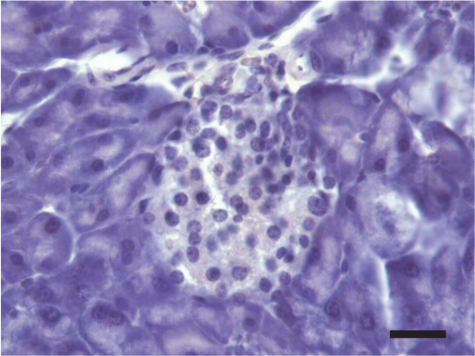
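A pancreatic islet lies in the centre of the field, surrounded by exocrine acinar tissue. The islet is a rounded cluster of small, pale-staining cells with round, blue nuclei, packed closely with little space between them and pale, faintly granular cytoplasm. Around it, the acinar cells are much larger, with darker blue-purple cytoplasm and round nuclei set toward their bases, grouped into acini separated by thin clefts. No nucleus, in the islet or in the acini, shows brown stain; all nuclei are blue.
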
